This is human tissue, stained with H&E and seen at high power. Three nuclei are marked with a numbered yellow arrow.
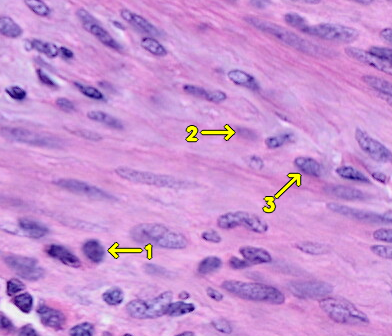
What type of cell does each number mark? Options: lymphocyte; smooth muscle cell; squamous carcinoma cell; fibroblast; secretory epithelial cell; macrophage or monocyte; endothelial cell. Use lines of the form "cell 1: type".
cell 1: lymphocyte
cell 2: smooth muscle cell
cell 3: smooth muscle cell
